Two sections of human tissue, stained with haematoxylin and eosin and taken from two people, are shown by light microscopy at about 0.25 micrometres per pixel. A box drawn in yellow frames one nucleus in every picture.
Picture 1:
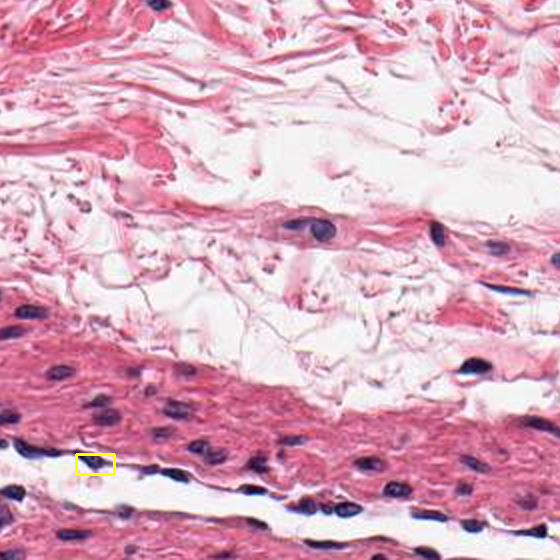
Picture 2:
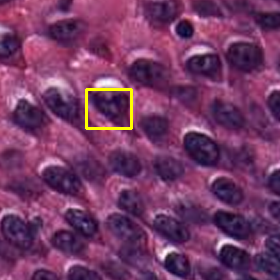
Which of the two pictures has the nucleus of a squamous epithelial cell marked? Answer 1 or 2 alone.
2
